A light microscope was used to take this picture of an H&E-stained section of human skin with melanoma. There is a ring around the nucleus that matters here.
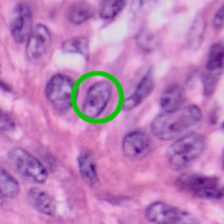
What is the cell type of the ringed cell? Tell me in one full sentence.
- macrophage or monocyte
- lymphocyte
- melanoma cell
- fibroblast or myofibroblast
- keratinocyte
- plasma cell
Within the stained tissue, the ringed cell is a melanoma cell.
